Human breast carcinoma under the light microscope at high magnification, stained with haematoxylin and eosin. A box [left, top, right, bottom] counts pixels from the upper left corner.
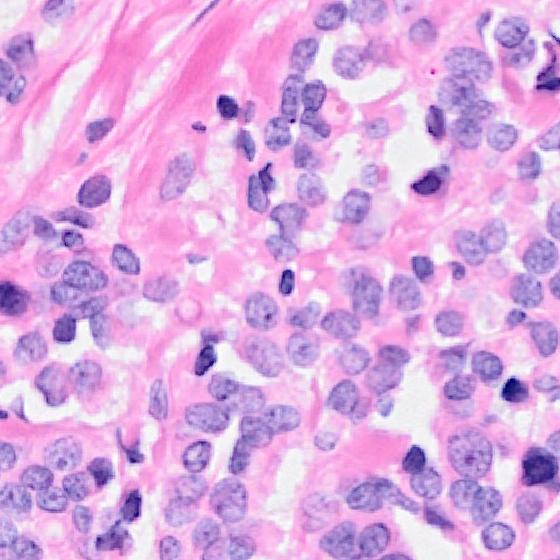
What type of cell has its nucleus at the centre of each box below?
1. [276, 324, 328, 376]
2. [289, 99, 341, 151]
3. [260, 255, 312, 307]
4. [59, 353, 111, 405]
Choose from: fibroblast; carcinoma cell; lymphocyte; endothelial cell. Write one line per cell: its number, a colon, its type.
1: carcinoma cell
2: carcinoma cell
3: lymphocyte
4: carcinoma cell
